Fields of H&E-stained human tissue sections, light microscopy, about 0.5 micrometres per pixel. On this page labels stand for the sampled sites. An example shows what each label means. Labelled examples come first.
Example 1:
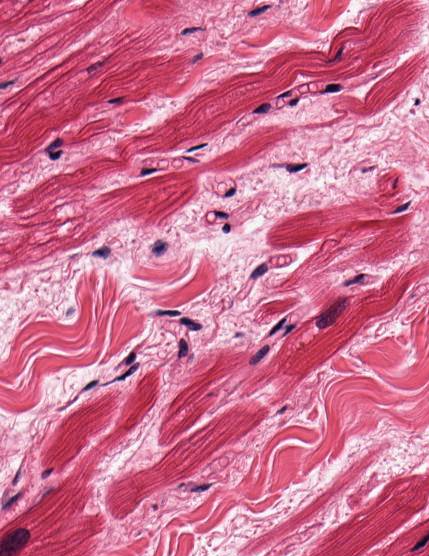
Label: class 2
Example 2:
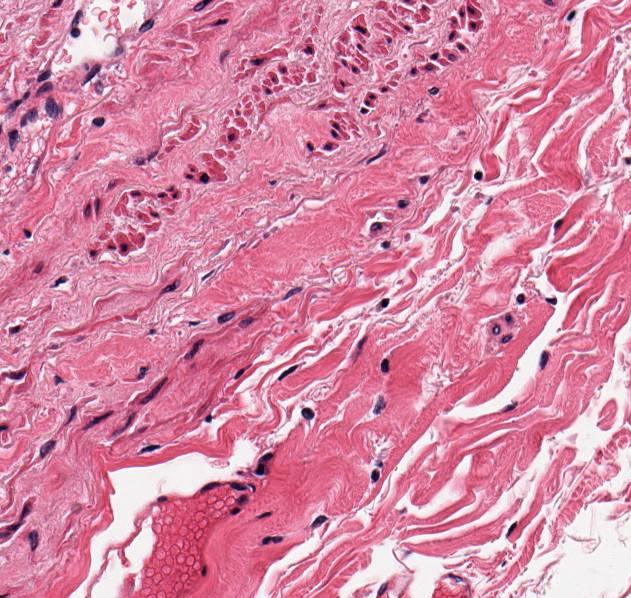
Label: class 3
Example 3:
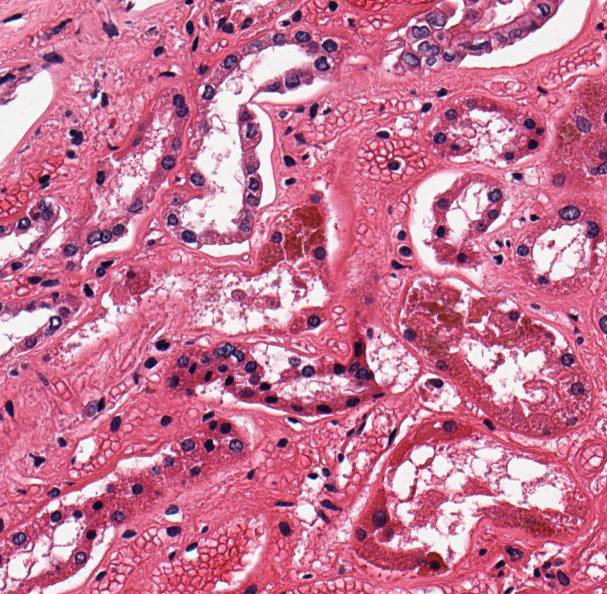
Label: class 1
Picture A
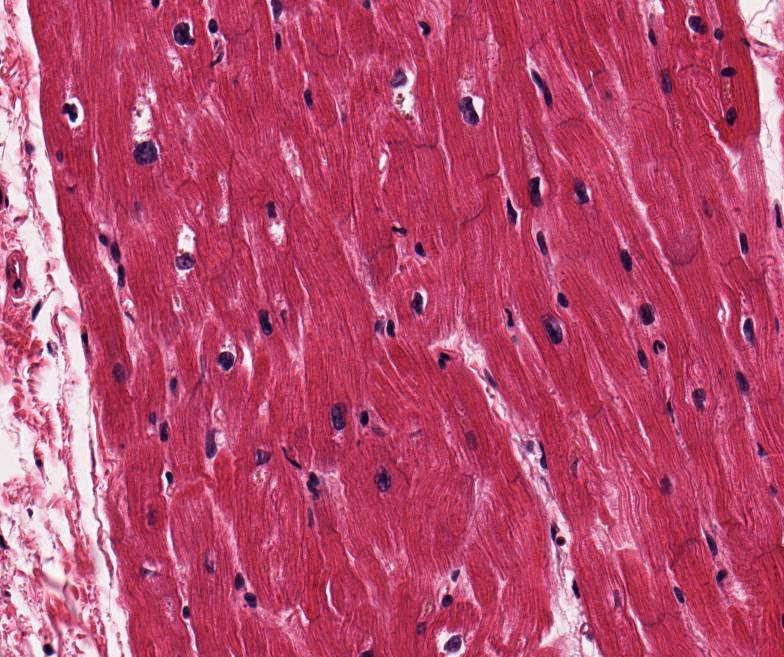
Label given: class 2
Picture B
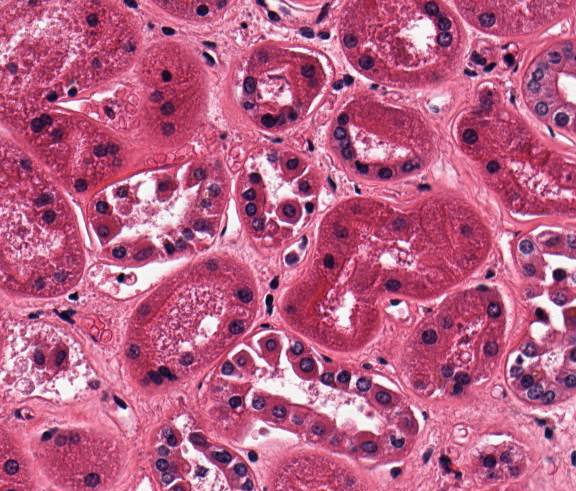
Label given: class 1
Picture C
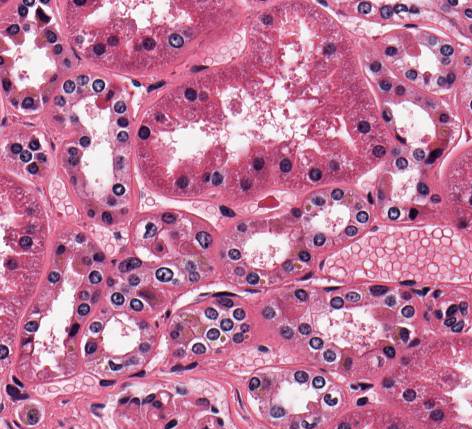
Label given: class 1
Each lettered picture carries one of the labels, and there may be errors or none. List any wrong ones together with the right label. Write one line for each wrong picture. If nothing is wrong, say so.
Every label is right.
